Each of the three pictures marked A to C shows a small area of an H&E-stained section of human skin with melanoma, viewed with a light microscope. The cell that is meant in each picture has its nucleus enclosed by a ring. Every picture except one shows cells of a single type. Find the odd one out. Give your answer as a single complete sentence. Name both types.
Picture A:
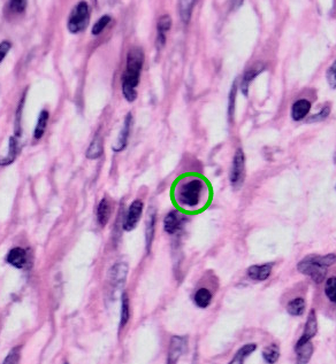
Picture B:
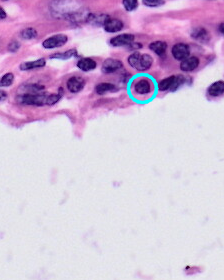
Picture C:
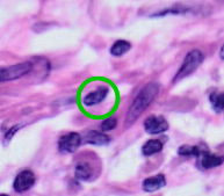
Unlike the rest, which show plasma cells, picture C shows a lymphocyte.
